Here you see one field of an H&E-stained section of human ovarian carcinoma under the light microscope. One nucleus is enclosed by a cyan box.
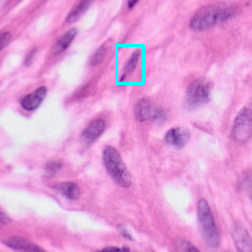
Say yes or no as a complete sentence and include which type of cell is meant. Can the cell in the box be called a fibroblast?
Yes, a fibroblast is what the cell in the box represents in this tissue.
